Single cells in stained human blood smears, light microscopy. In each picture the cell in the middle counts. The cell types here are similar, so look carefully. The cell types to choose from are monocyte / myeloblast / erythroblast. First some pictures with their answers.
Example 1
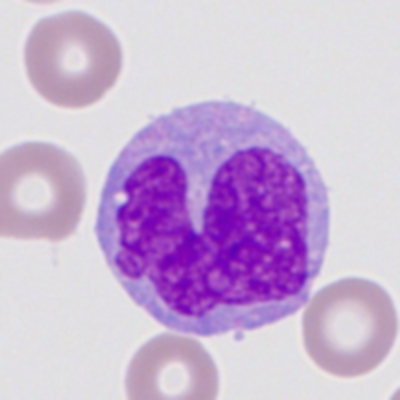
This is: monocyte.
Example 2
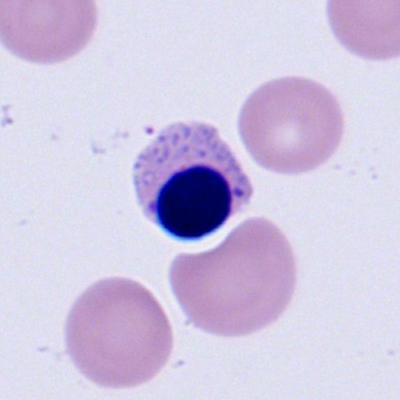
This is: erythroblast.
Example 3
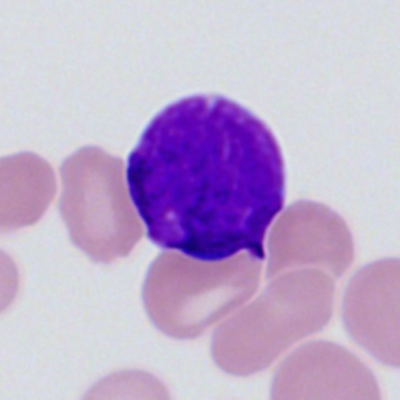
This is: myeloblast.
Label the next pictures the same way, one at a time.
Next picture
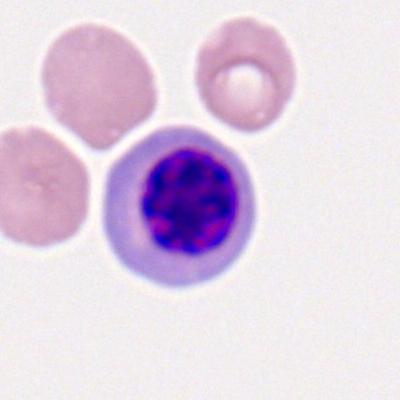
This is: erythroblast.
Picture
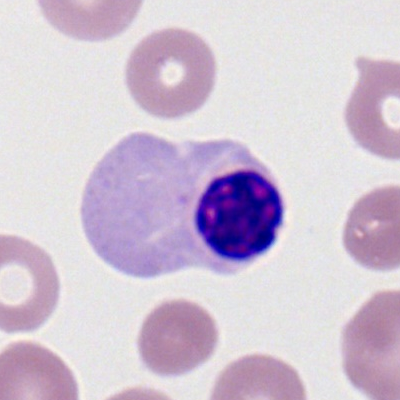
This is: erythroblast.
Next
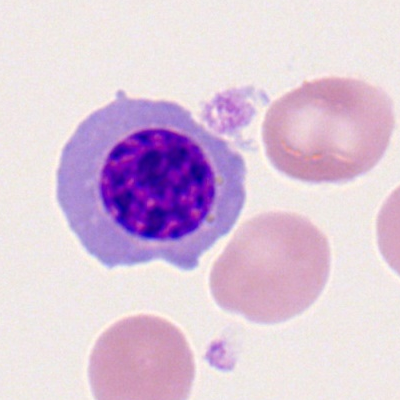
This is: erythroblast.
